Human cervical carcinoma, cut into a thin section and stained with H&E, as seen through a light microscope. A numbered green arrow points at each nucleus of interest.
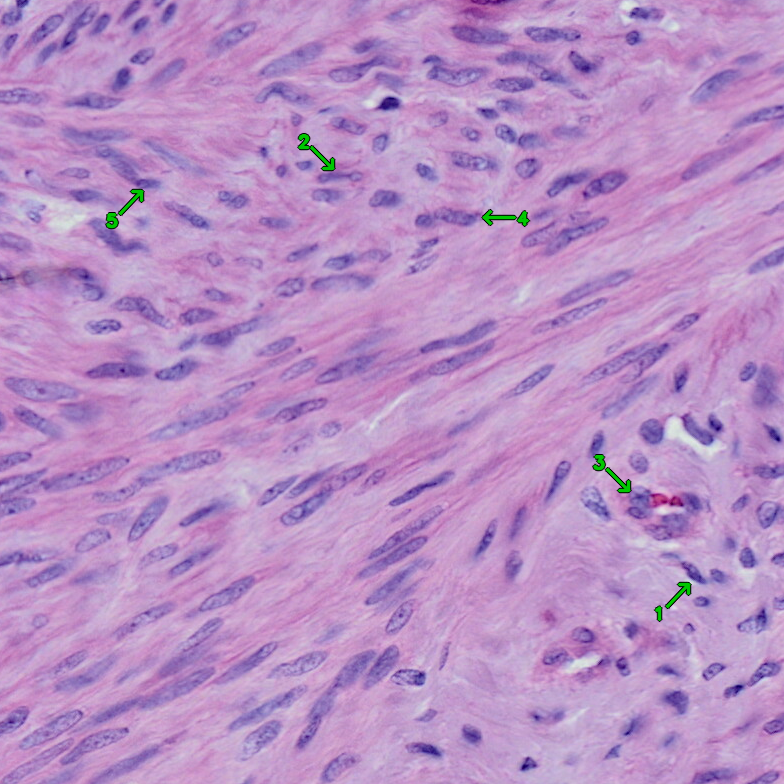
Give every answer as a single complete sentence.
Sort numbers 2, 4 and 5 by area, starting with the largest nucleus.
Going from the biggest nucleus down to the smallest gives 4, 2, 5.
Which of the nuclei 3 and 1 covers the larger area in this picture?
Number 3 is larger; its area is about 2.5 times that of number 1.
